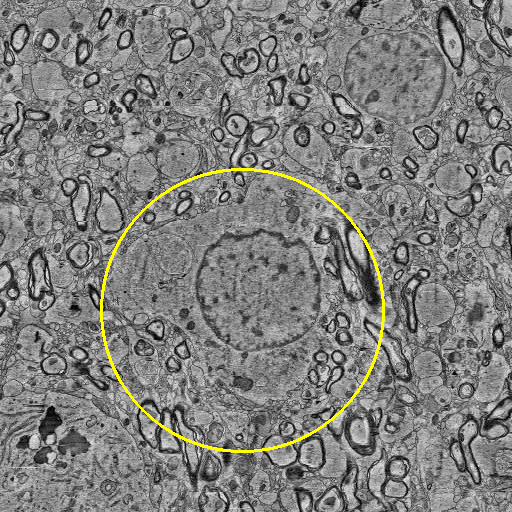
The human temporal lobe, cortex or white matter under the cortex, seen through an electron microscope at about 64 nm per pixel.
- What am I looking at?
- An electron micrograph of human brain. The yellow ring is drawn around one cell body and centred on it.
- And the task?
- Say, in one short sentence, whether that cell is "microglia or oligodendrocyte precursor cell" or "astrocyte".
The cell in the middle of the ring is an astrocyte.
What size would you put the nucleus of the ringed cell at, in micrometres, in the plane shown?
The nucleus is approximately 8 micrometers across in this plane.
